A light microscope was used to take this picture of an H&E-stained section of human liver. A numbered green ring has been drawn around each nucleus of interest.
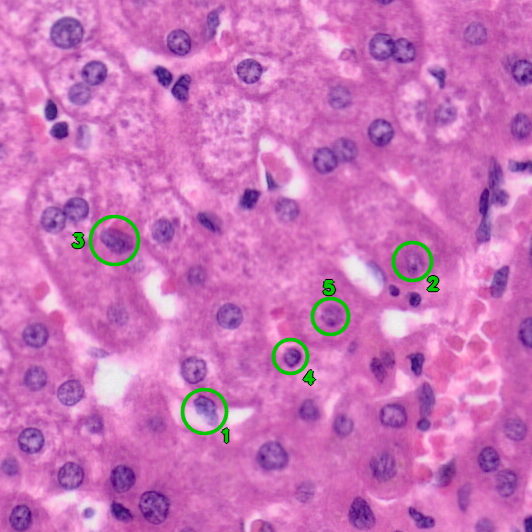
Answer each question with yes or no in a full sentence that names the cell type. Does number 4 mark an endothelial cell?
No, the cell tagged 4 is a lymphocyte, not an endothelial cell.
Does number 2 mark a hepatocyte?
Yes, it is a hepatocyte that carries the number 2.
